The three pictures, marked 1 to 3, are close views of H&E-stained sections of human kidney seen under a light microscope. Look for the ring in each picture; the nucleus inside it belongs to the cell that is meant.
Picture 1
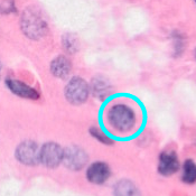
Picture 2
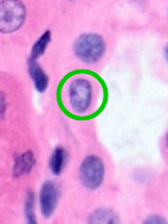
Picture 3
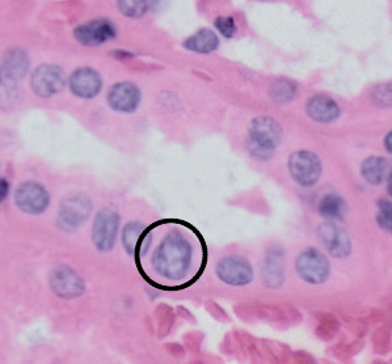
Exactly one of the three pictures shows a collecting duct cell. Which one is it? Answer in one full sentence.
Picture 3 is the one that shows the collecting duct cell.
